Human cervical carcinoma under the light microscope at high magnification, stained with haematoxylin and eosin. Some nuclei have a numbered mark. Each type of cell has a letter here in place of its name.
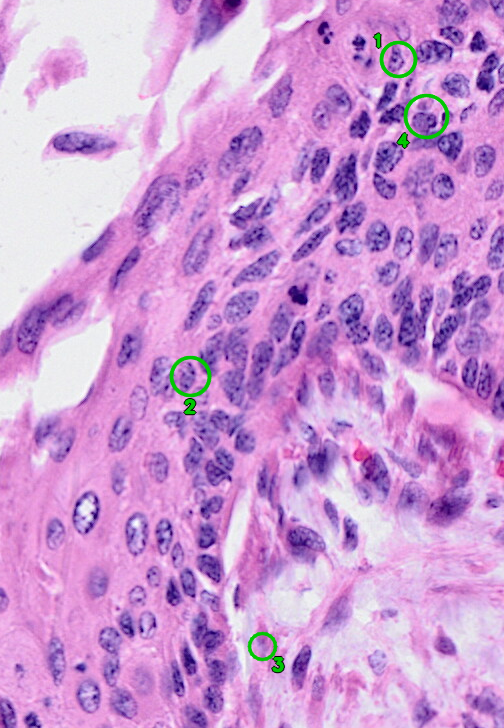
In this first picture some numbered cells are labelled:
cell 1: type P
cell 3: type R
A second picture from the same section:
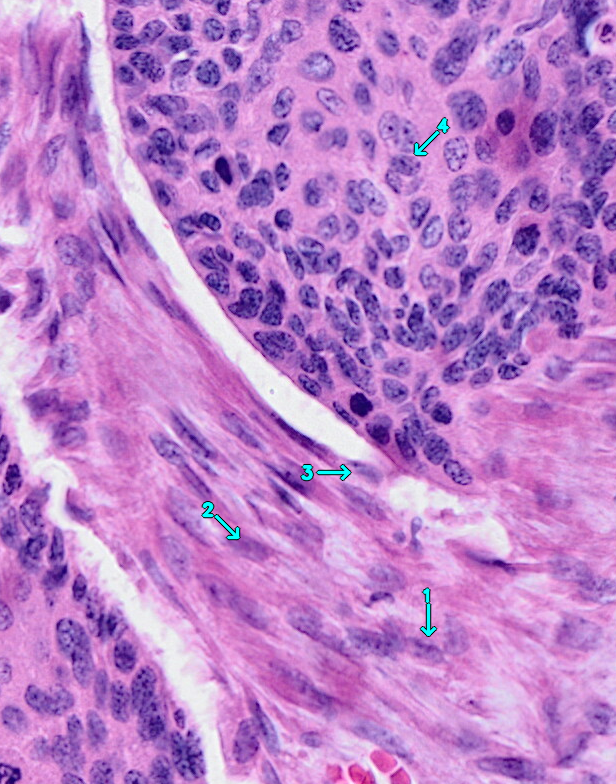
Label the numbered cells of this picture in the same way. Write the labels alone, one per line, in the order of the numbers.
type R
type R
type R
type P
